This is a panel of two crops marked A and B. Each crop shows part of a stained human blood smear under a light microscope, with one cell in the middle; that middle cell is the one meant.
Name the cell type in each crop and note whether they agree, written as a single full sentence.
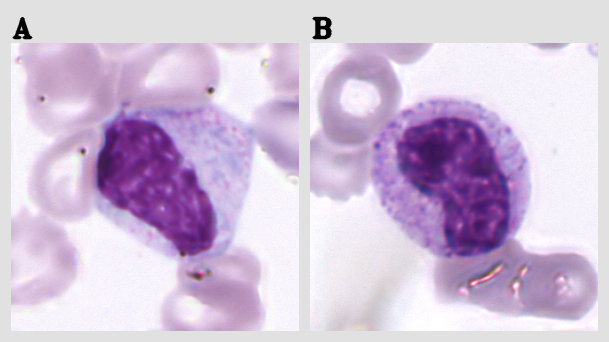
Yes, the middle cells in both crops are indeed metamyelocytes.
